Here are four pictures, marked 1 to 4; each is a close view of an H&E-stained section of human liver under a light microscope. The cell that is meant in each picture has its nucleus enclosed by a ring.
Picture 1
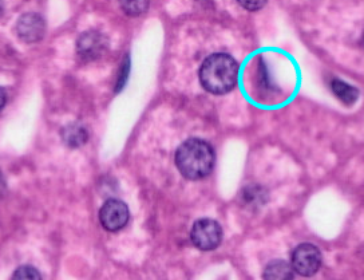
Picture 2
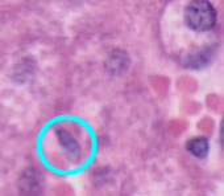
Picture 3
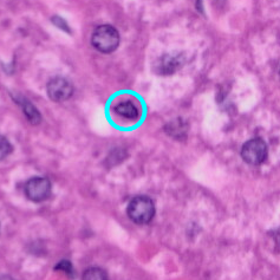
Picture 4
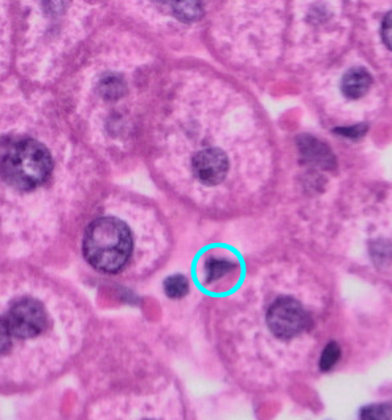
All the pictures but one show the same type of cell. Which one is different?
3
